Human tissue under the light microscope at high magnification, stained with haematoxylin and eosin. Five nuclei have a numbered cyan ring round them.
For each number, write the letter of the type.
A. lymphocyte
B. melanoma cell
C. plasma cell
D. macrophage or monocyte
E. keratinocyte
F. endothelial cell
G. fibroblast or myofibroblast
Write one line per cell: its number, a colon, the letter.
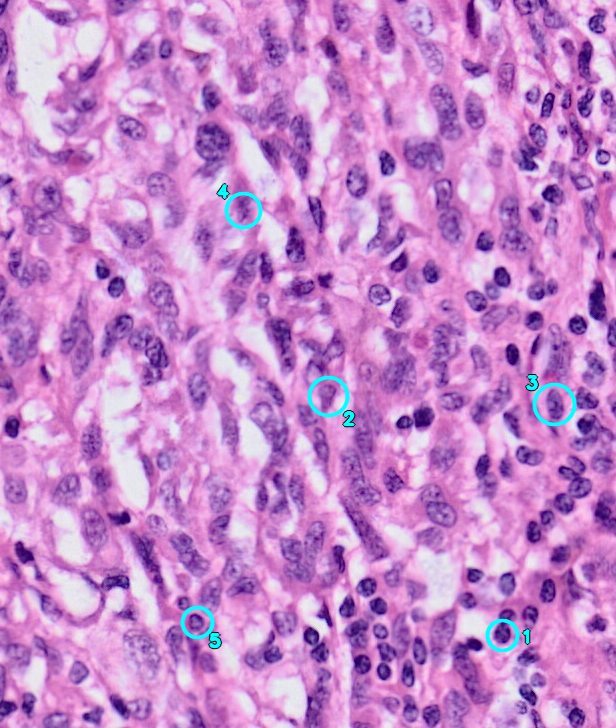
1: A
2: B
3: A
4: B
5: A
